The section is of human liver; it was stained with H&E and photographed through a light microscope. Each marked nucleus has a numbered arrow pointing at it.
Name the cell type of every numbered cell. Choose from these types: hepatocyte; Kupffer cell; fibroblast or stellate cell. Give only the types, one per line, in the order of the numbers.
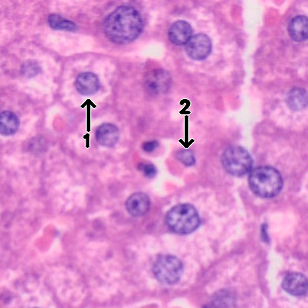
hepatocyte
Kupffer cell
